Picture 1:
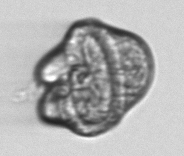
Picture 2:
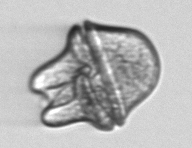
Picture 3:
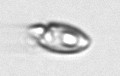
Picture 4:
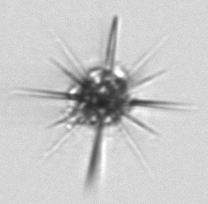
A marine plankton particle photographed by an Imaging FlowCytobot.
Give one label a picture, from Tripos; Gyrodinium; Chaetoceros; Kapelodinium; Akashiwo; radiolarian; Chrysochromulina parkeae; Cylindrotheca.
1. Akashiwo
2. Akashiwo
3. Kapelodinium
4. radiolarian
